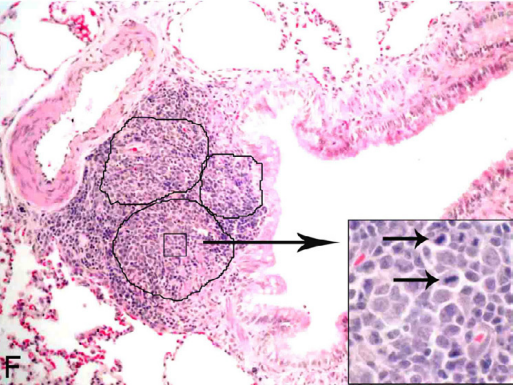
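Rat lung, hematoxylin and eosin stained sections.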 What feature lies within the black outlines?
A: germinal centers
